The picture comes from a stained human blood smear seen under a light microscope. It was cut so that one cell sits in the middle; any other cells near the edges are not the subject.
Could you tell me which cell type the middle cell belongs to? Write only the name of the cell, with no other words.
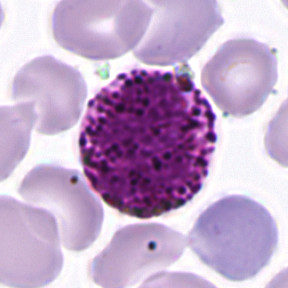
basophil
